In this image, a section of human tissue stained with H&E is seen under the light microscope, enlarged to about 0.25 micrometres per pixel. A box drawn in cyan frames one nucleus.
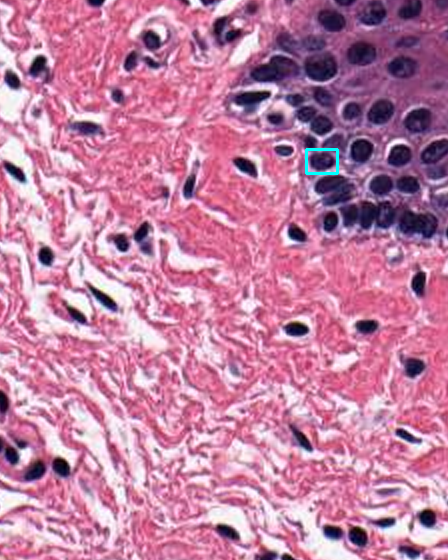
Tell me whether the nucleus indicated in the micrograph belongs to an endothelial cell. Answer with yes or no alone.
no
